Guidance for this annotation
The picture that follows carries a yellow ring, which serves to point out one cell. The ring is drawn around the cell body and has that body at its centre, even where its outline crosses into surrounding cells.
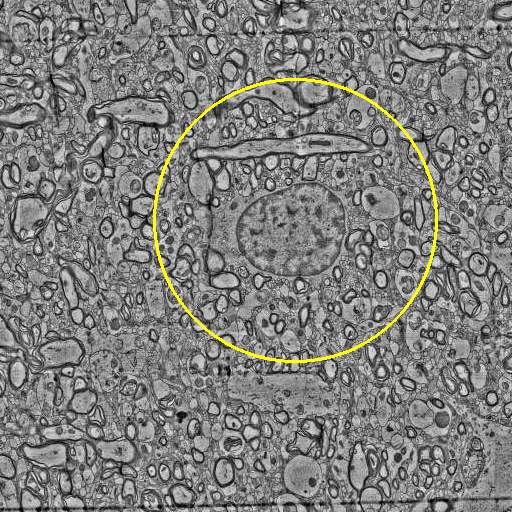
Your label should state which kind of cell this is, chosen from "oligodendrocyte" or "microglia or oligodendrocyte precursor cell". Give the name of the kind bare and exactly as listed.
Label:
oligodendrocyte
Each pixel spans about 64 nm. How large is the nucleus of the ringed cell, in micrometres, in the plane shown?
The ringed cell's nucleus measures approximately 7 by 6 micrometres in this plane.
